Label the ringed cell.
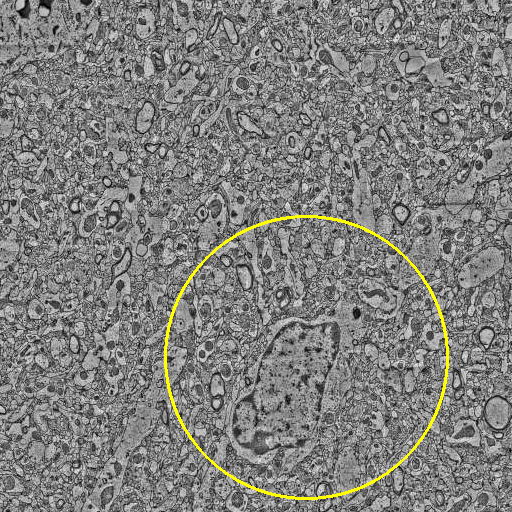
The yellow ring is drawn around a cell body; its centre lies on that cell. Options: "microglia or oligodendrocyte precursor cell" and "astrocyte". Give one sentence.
The ringed cell is a microglial cell or oligodendrocyte precursor cell.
